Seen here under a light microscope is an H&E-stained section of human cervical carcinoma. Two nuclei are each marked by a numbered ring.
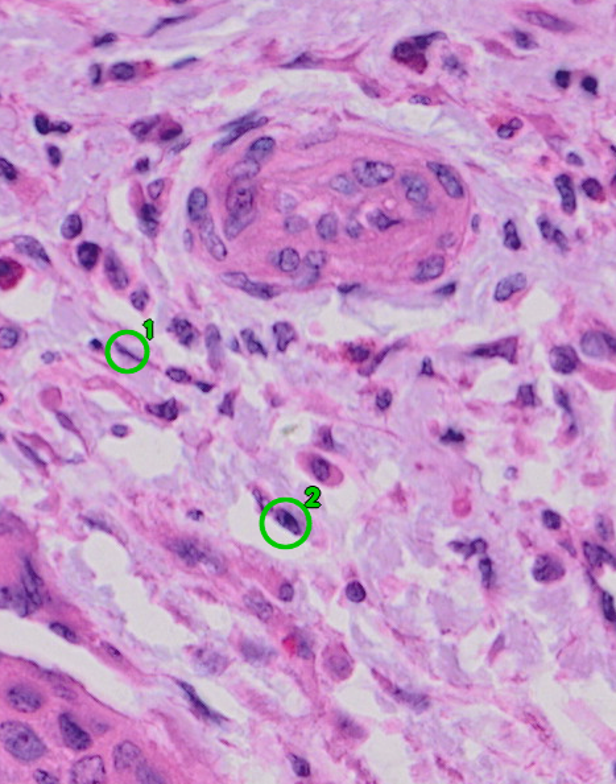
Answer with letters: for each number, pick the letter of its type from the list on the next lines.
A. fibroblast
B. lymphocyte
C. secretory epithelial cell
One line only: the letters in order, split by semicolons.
A; B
